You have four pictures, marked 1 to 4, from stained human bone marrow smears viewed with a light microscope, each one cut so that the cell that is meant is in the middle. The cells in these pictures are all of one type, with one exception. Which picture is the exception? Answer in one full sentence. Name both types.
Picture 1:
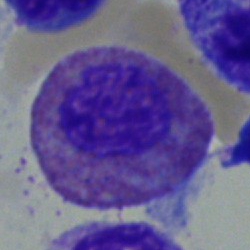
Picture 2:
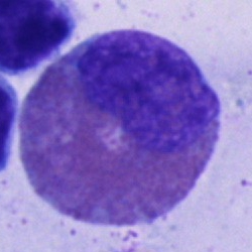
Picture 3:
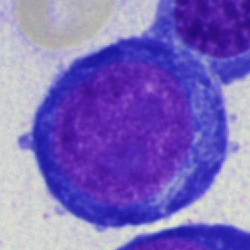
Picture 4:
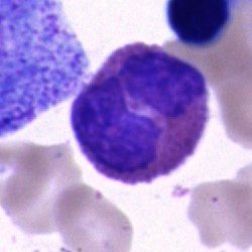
Picture 3 differs, because its cell is a proerythroblast and the rest are eosinophils.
